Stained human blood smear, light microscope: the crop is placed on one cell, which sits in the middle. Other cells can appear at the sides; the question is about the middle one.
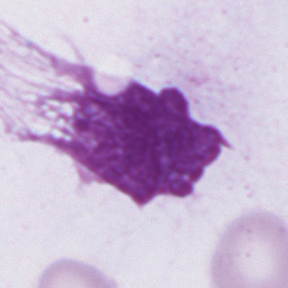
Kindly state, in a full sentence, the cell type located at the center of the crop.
The center cell of this crop is a smudge cell.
